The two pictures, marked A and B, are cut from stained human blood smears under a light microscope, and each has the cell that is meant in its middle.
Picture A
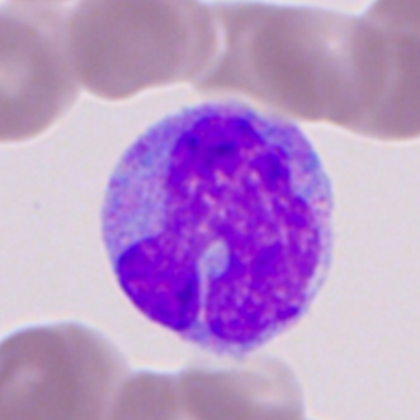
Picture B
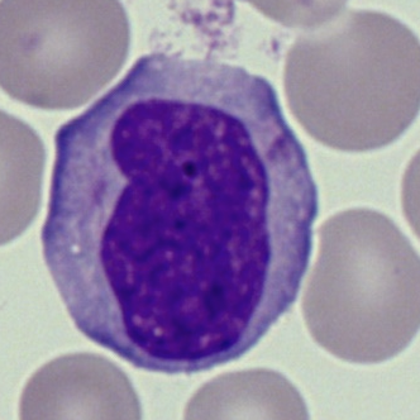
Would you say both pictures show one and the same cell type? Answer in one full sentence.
Yes, the two pictures both show monocytes.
